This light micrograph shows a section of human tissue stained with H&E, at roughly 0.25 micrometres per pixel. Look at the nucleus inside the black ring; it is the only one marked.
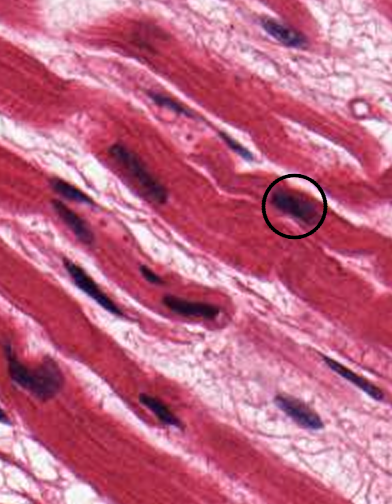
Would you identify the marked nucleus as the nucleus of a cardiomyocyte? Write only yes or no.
yes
